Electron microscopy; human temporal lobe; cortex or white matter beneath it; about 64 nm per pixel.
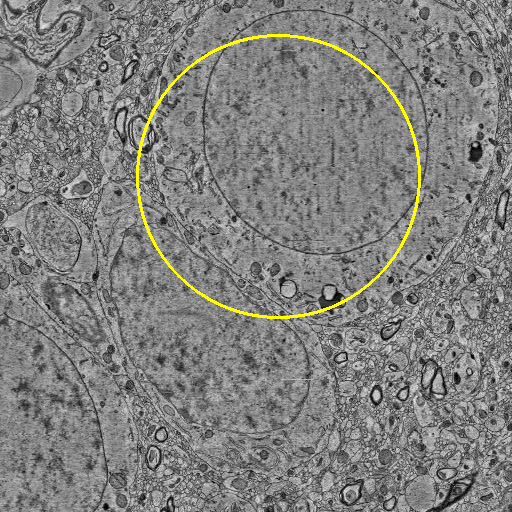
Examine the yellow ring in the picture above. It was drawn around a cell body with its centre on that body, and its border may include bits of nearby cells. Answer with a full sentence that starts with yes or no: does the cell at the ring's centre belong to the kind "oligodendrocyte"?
No, the cell at the heart of the ring shown in the image is a different kind of cell.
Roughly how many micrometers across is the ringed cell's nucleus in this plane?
In this plane, the nucleus of the cell at the centre of the ring is about 15 micrometres across.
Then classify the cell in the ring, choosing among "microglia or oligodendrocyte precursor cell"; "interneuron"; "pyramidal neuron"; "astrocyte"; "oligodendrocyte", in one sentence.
The ring holds a pyramidal neuron at its centre.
